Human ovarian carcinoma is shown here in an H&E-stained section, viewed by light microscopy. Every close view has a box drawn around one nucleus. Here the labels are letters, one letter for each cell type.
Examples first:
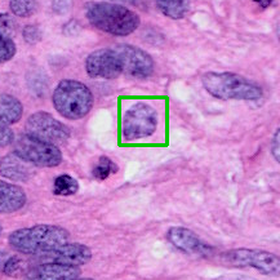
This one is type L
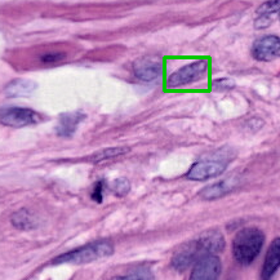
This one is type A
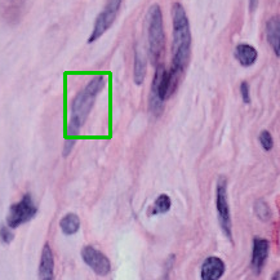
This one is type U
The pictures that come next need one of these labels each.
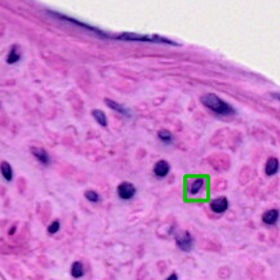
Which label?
type U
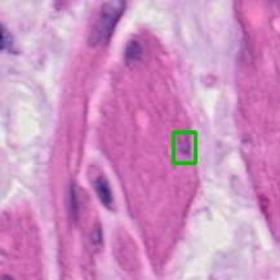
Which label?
type U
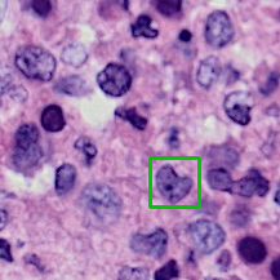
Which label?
type L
